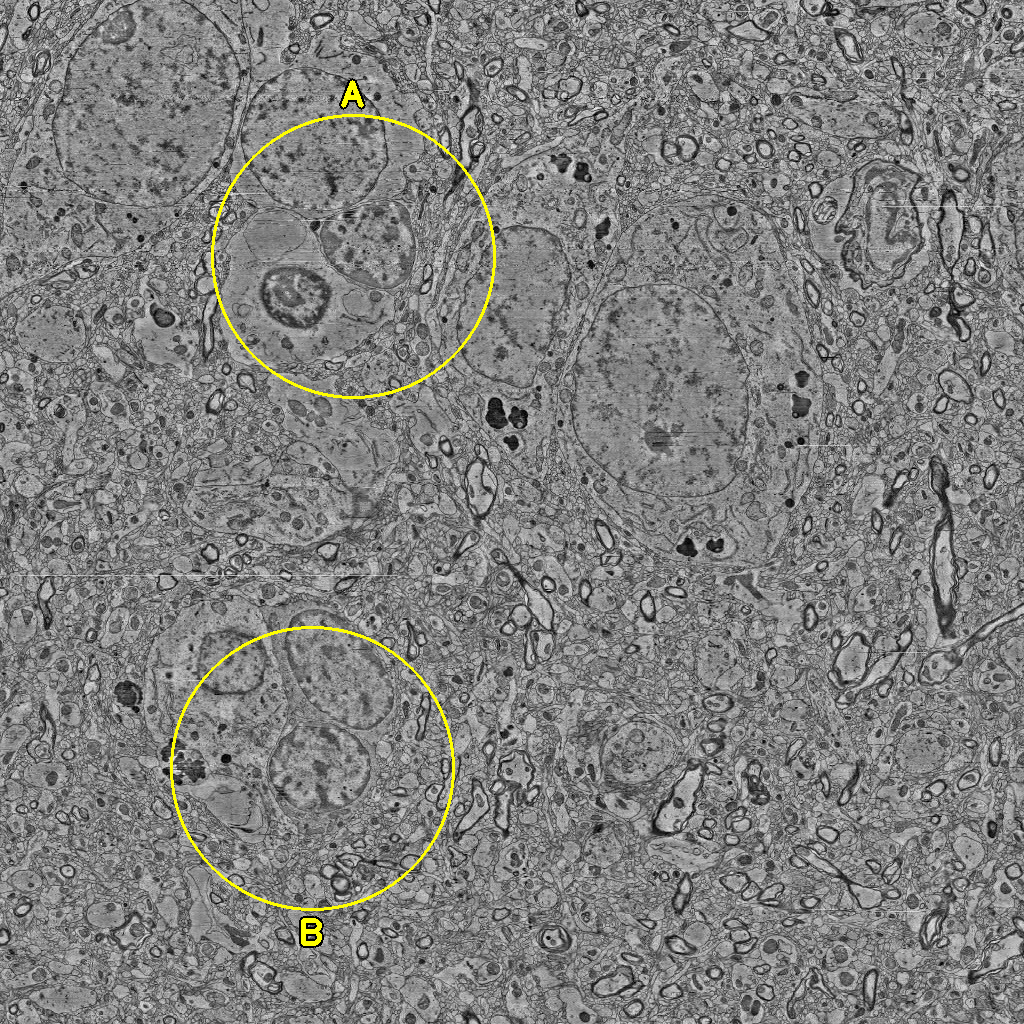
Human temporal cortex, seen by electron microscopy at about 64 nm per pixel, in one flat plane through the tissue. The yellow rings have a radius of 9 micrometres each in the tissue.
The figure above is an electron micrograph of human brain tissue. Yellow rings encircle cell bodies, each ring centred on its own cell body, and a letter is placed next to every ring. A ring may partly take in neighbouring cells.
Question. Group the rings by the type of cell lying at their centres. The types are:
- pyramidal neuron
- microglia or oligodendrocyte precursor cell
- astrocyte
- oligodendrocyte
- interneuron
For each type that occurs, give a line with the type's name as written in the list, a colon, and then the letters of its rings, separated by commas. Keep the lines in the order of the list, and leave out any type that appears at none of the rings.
microglia or oligodendrocyte precursor cell: A
oligodendrocyte: B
